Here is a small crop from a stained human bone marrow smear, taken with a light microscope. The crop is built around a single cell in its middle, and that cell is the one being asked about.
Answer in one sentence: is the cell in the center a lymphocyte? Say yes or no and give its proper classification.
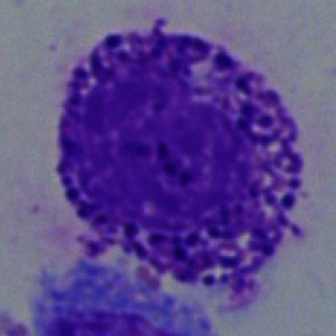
No, it isn't a lymphocyte; what sits in the middle is a basophil.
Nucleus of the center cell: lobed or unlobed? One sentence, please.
There is one compact nucleus, and its shape is round, oval or kidney-like.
